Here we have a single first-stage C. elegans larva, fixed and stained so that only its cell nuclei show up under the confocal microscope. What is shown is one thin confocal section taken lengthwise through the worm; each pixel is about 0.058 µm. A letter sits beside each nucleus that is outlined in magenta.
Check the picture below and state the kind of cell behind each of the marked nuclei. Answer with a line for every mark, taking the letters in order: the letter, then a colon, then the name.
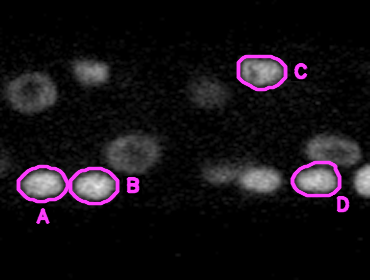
A: neuron
B: neuron
C: body wall muscle cell
D: neuron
